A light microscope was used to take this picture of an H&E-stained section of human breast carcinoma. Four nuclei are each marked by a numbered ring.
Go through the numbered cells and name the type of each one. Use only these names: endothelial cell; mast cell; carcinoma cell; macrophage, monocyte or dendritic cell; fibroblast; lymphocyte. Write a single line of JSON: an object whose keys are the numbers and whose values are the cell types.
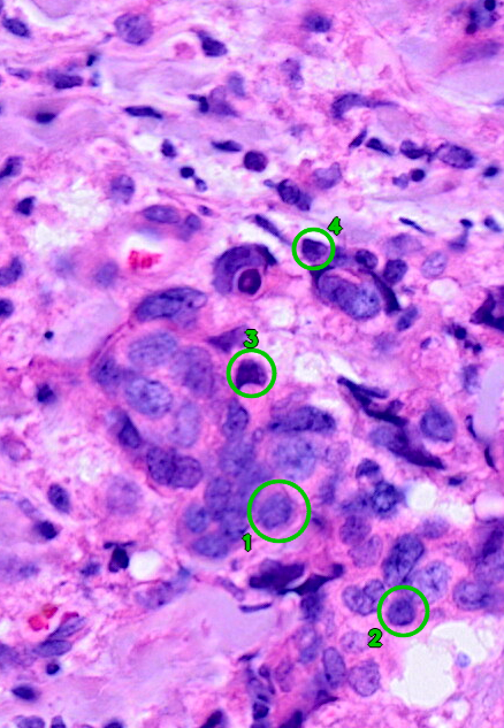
{"1": "carcinoma cell", "2": "carcinoma cell", "3": "carcinoma cell", "4": "lymphocyte"}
